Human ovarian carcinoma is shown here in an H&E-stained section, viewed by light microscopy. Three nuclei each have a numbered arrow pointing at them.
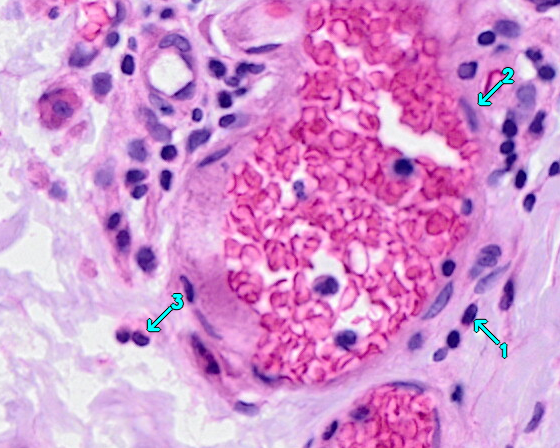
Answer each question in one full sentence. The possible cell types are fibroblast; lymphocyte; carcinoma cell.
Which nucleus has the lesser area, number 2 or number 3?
The smaller nucleus is 3, and 2 covers roughly 1.5 times its area.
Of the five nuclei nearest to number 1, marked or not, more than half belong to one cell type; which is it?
Around number 1, most of the five nearest nuclei are those of fibroblasts.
